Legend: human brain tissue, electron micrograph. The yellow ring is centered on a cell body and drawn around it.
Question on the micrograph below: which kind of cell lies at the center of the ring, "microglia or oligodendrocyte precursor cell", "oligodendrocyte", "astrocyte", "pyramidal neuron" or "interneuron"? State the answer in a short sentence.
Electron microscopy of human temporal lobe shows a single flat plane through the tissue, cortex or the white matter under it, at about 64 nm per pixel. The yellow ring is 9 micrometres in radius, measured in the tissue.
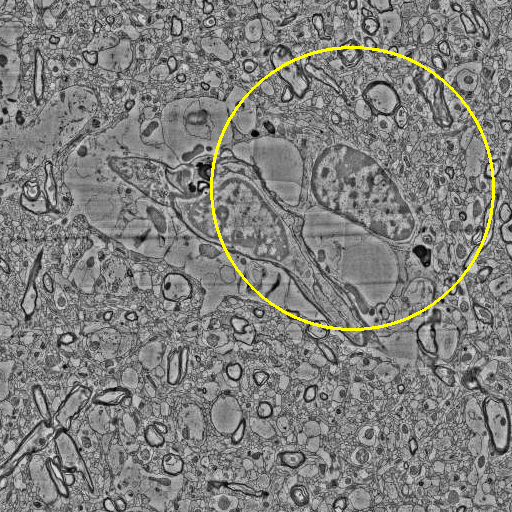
At the center of the ring lies a microglial cell or oligodendrocyte precursor cell.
